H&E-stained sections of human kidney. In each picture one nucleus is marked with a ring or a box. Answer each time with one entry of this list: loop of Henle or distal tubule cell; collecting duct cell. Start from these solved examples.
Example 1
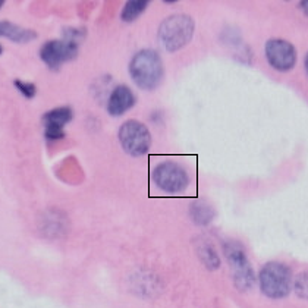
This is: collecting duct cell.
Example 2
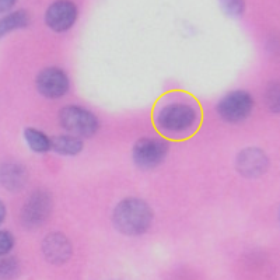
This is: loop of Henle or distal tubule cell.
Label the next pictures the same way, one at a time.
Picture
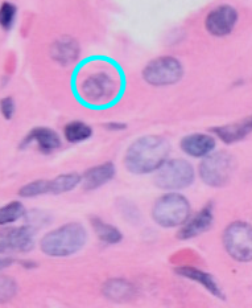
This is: loop of Henle or distal tubule cell.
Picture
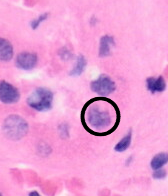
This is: loop of Henle or distal tubule cell.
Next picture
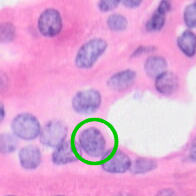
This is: collecting duct cell.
